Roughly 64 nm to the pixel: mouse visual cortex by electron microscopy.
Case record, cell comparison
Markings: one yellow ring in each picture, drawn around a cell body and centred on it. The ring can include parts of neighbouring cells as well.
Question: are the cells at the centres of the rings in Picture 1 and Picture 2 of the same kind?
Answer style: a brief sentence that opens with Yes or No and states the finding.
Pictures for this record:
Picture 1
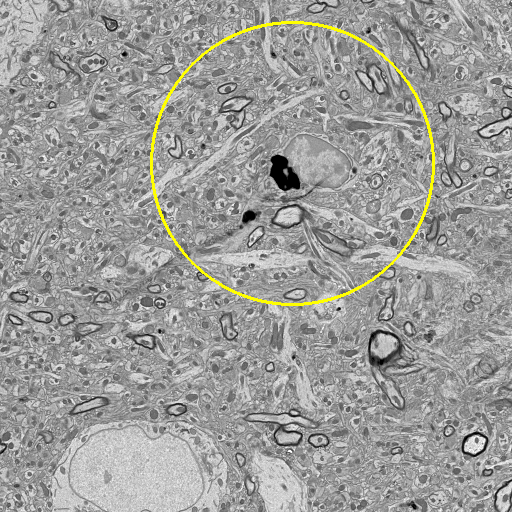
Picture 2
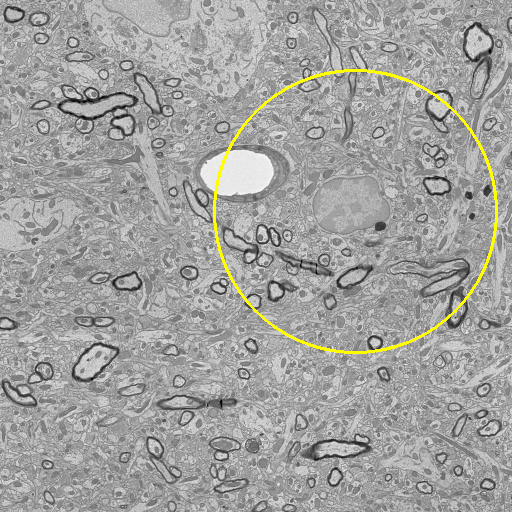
Yes, the cells in Picture 1 and Picture 2 are of the same kind.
